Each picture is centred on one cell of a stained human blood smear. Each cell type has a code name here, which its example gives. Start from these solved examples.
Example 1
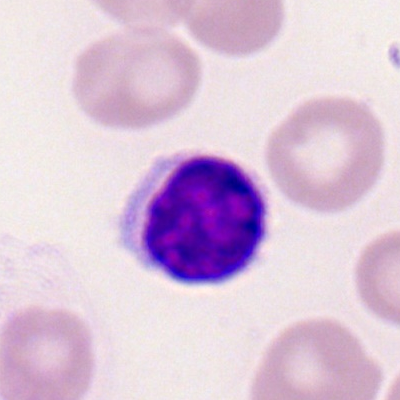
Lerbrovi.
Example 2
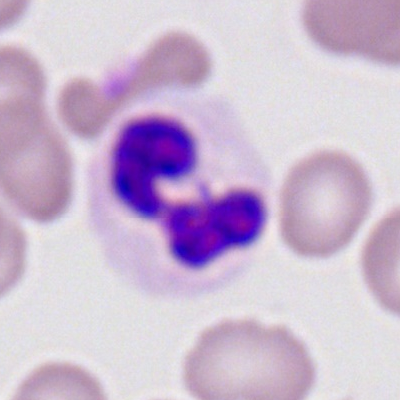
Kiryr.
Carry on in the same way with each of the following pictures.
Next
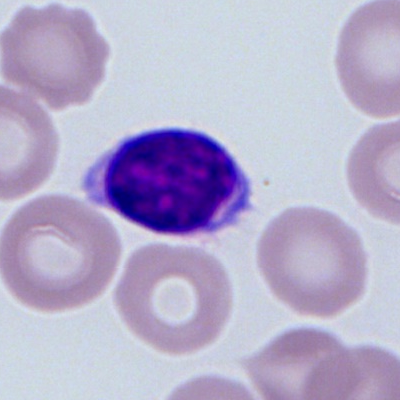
Lerbrovi.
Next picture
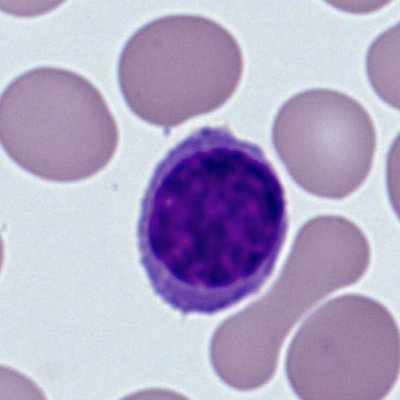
Lerbrovi.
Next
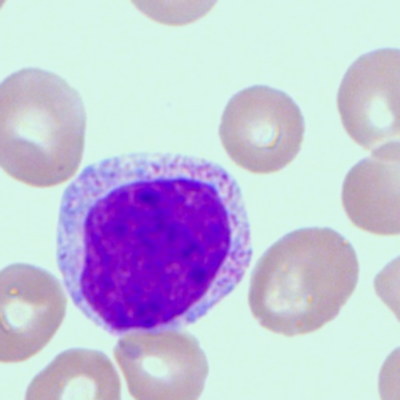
Lerbrovi.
